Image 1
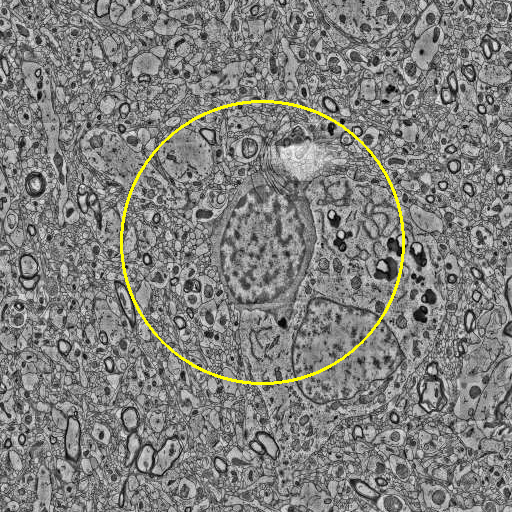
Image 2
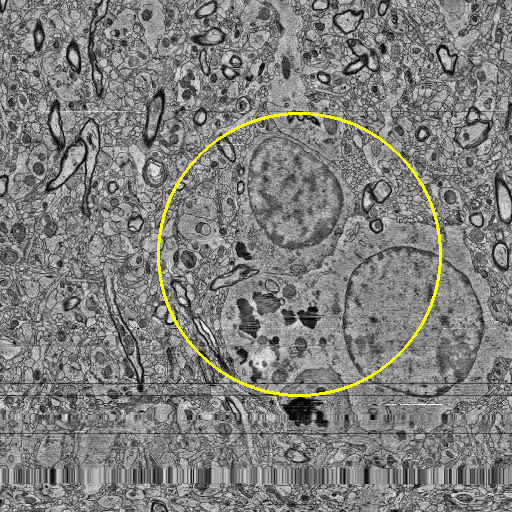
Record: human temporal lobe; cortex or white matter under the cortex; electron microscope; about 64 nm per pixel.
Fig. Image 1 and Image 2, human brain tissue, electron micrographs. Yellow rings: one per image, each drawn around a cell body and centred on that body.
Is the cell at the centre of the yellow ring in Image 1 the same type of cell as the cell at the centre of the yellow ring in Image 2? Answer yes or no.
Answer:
yes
